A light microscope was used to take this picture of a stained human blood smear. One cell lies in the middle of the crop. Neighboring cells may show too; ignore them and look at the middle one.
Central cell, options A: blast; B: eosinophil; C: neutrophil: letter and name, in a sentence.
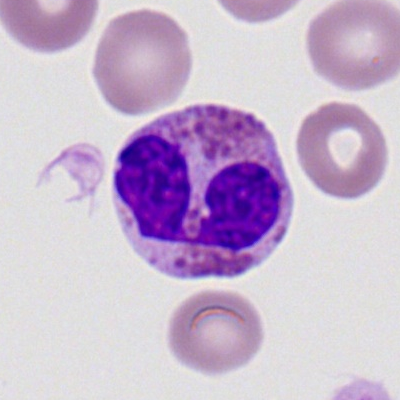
The cell in the center of this crop is an eosinophil, so option B is the one to pick.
